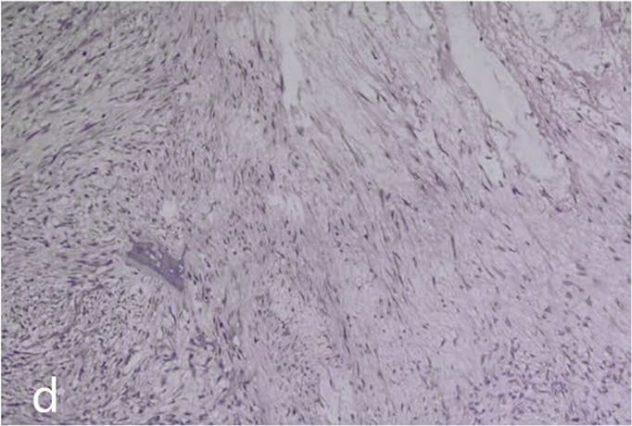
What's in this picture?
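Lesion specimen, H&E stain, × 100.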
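Proliferation of spindled fibroblast-like cells with elongated, slender purple nuclei arranged in parallel bundles and sweeping streams. Between the bundles lies a pale, loose, lightly stained matrix with sparse cells. Cell density varies, with more crowded fascicles at the left and looser, paler zones elsewhere. A few pale elongated spaces lie among the bundles.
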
